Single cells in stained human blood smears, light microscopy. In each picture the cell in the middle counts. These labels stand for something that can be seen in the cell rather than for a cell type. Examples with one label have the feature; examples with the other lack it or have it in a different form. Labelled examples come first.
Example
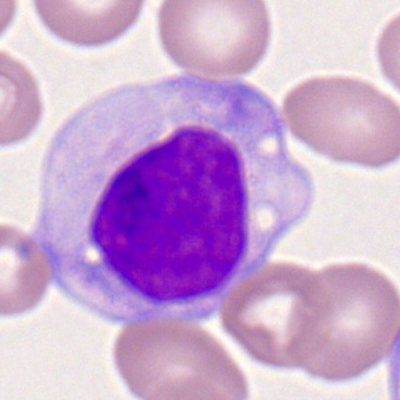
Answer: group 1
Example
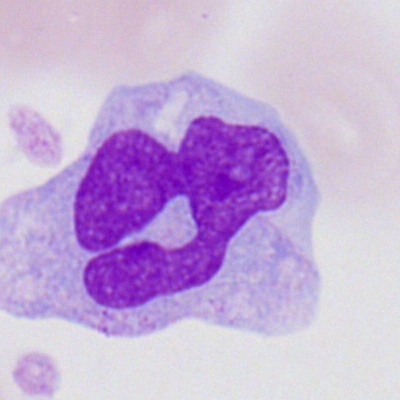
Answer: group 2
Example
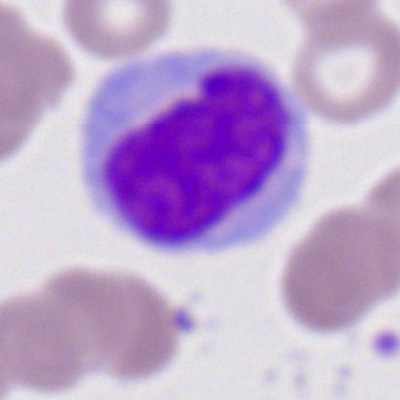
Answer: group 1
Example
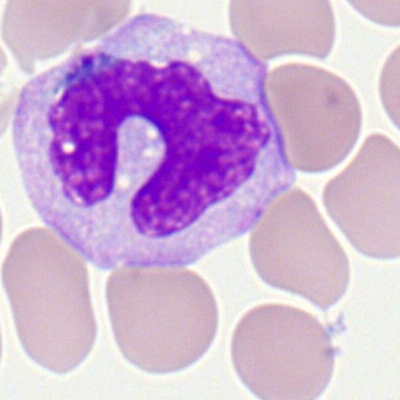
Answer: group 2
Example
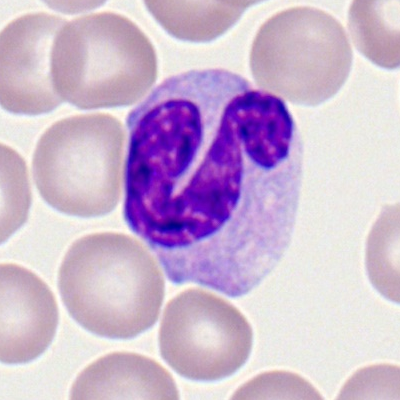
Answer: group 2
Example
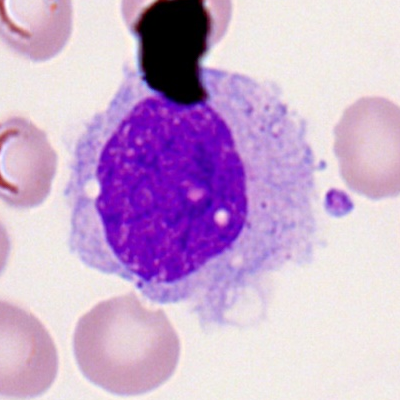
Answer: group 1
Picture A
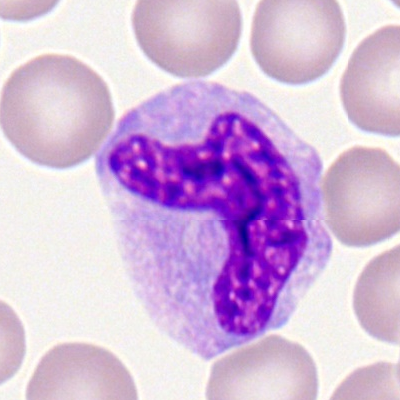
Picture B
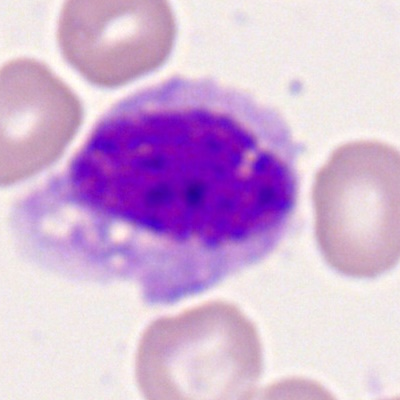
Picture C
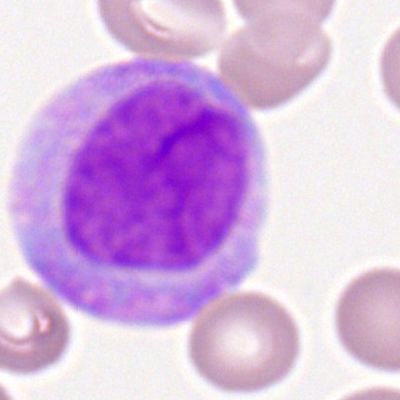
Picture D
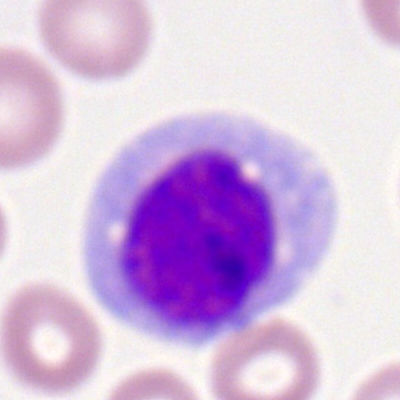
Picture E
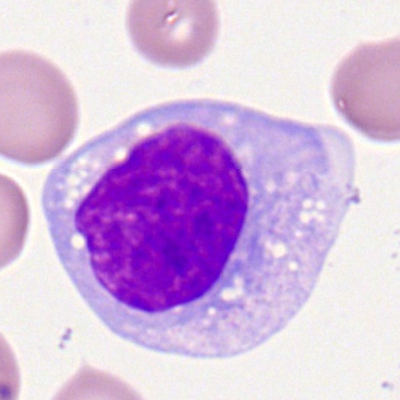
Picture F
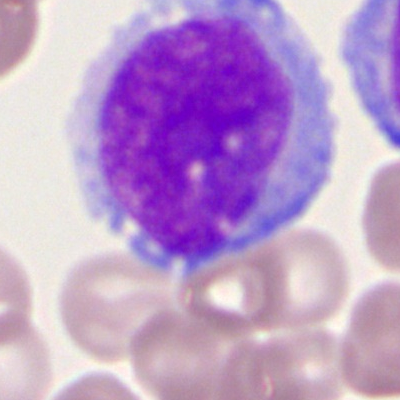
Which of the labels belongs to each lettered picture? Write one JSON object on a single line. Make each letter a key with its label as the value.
{"A": "group 2", "B": "group 1", "C": "group 1", "D": "group 1", "E": "group 1", "F": "group 1"}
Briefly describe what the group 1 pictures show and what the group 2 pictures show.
In group 1: round or oval nucleus. In group 2: band-shaped nucleus.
